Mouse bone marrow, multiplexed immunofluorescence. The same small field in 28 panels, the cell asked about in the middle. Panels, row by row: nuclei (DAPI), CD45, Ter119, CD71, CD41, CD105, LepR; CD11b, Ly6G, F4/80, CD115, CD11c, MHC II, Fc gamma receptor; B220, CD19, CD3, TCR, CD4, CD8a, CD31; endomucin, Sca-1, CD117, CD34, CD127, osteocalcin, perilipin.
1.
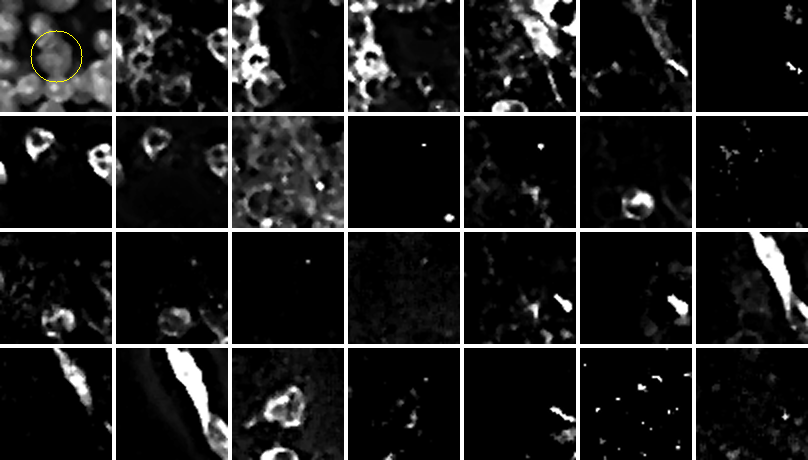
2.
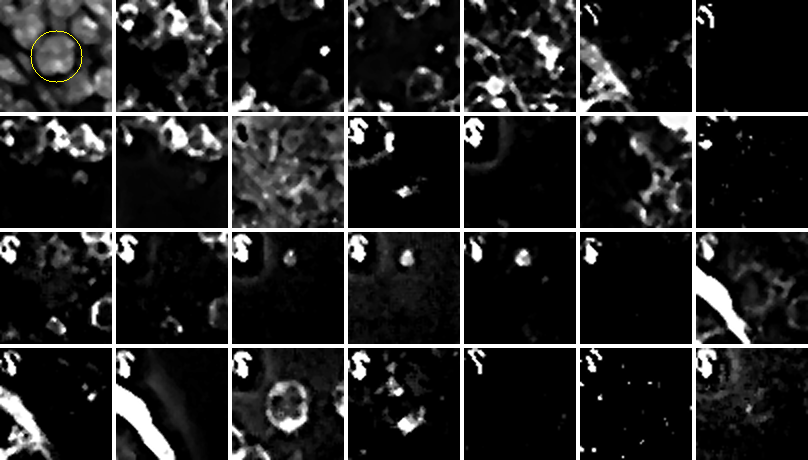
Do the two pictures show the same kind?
Yes, both are KLS stem or progenitor cells.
